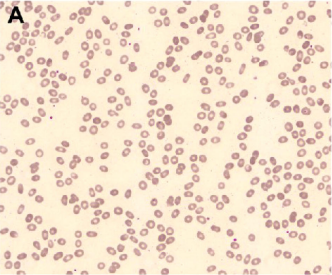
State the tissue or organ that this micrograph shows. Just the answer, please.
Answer: Peripheral blood.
